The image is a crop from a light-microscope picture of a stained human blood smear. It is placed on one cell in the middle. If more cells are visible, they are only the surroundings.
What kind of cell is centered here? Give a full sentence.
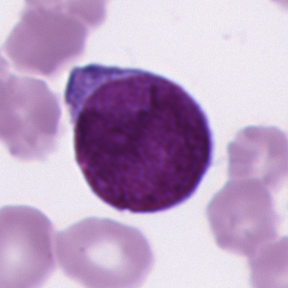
The cell marked by its central position in the crop is a myeloblast.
